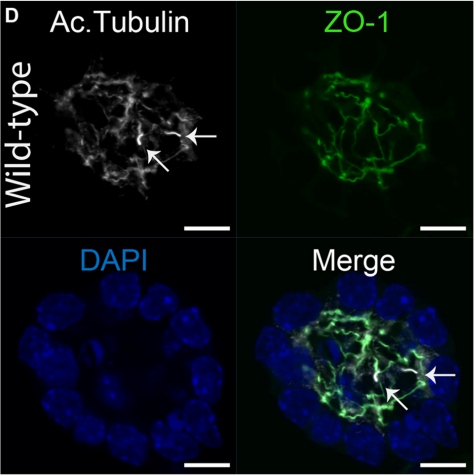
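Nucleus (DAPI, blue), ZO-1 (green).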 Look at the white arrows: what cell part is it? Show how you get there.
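Cilia. The arrows point to short, bright white rod-like projections. The rods lie within a cluster of cells, among green lines at cell borders.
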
